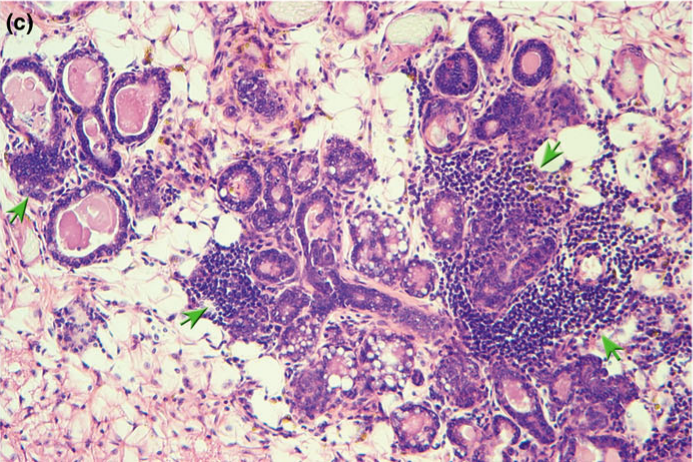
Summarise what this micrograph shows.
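Mammary gland section with well defined acinar structures surrounded by lymphocytic infiltration. The acini are round to oval, lined by a single layer of cuboidal epithelial cells with purple nuclei; many lumens hold pink eosinophilic secretion, and some epithelial cells contain clear cytoplasmic vacuoles. Between and around the acini lie dense sheets of small round cells with dark purple nuclei and scant cytoplasm, clustering closely against the glandular units. The background is adipose tissue of large empty white polygonal cells with thin pink septa. Thin pink fibrous stroma runs among the acini.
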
